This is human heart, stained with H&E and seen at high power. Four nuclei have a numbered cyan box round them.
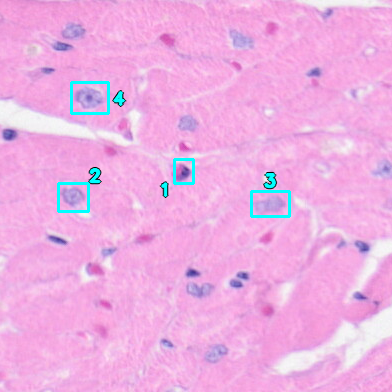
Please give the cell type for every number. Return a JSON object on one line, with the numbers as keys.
{"1": "endothelial cell", "2": "cardiomyocyte", "3": "cardiomyocyte", "4": "cardiomyocyte"}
